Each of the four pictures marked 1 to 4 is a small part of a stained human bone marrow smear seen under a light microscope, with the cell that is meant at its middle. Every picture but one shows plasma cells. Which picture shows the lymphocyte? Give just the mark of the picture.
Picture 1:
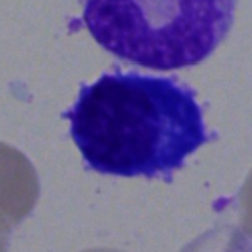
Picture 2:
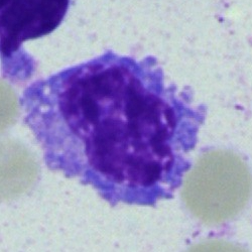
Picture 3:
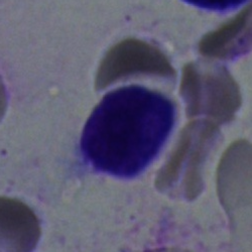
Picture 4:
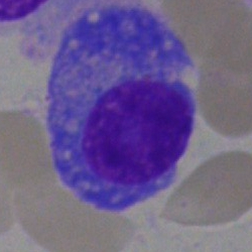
3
